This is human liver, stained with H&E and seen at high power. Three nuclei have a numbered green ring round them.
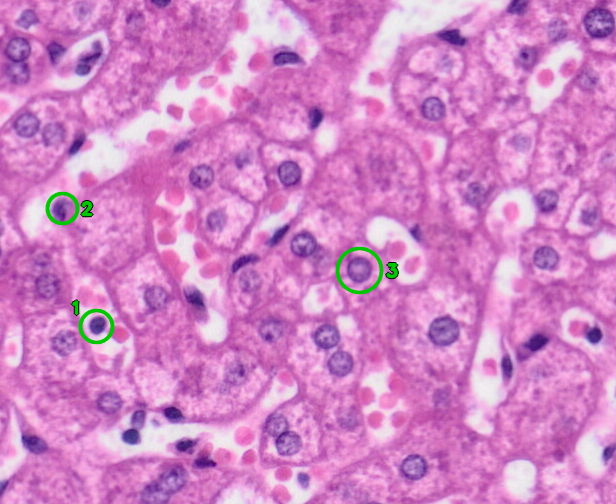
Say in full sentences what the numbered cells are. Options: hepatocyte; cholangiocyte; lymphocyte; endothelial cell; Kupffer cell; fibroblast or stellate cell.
Cell 1 is a lymphocyte. Cell 2 is a Kupffer cell. Cell 3 is a hepatocyte.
